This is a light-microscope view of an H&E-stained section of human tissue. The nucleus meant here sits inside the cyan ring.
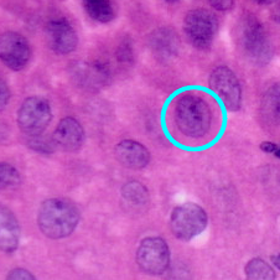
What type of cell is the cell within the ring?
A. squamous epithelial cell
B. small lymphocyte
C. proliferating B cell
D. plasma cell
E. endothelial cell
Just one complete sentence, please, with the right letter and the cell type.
Here the cell within the ring is a squamous epithelial cell; pick option A.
